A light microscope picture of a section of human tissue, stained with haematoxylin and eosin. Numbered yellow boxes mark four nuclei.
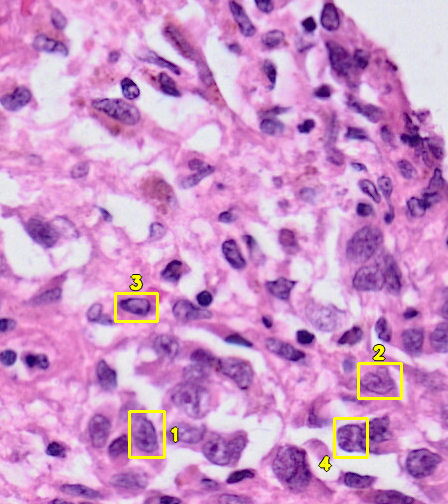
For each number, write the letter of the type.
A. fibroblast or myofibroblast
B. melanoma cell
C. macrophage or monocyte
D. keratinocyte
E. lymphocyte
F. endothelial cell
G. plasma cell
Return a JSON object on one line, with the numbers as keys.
{"1": "B", "2": "B", "3": "C", "4": "B"}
